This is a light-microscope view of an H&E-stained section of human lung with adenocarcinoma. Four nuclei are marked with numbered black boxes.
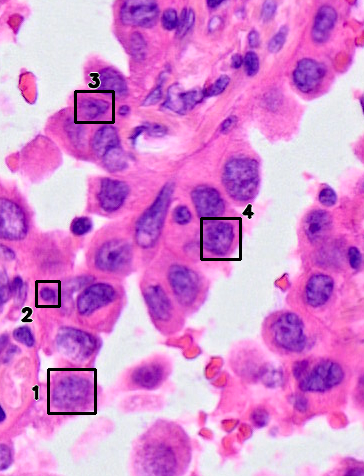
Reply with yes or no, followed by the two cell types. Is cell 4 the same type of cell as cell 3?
Yes, both are carcinoma cells.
